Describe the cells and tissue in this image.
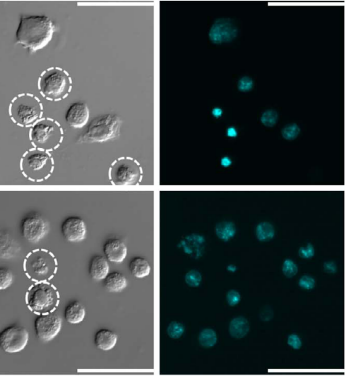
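Cultured cells seen in differential interference contrast and in cyan nuclear fluorescence, several with apoptotic morphology: smaller cells with irregular, bumpy outlines, some marked by dotted circles. Among the nuclei several are small, compact and brightly stained, beside others that are larger and paler.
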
